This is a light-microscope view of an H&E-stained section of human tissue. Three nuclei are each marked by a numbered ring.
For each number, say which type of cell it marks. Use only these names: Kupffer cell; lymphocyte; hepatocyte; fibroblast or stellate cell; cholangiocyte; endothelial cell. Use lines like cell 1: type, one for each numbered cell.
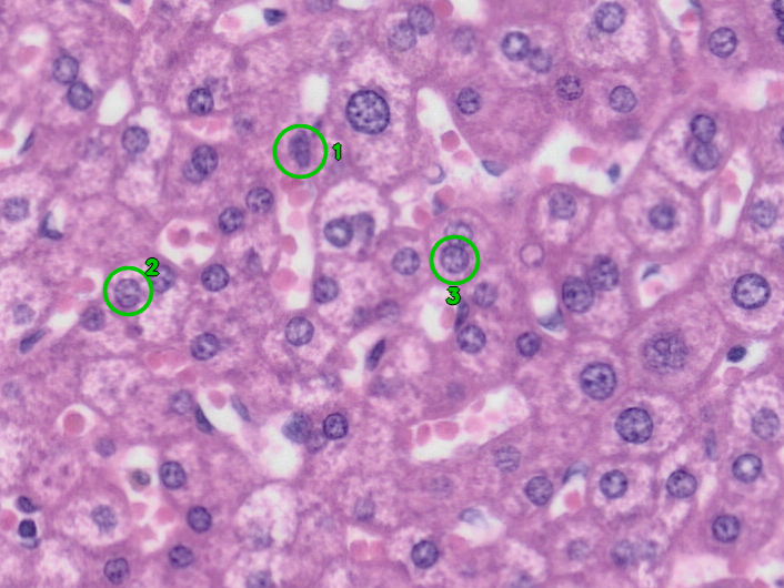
cell 1: fibroblast or stellate cell
cell 2: hepatocyte
cell 3: hepatocyte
